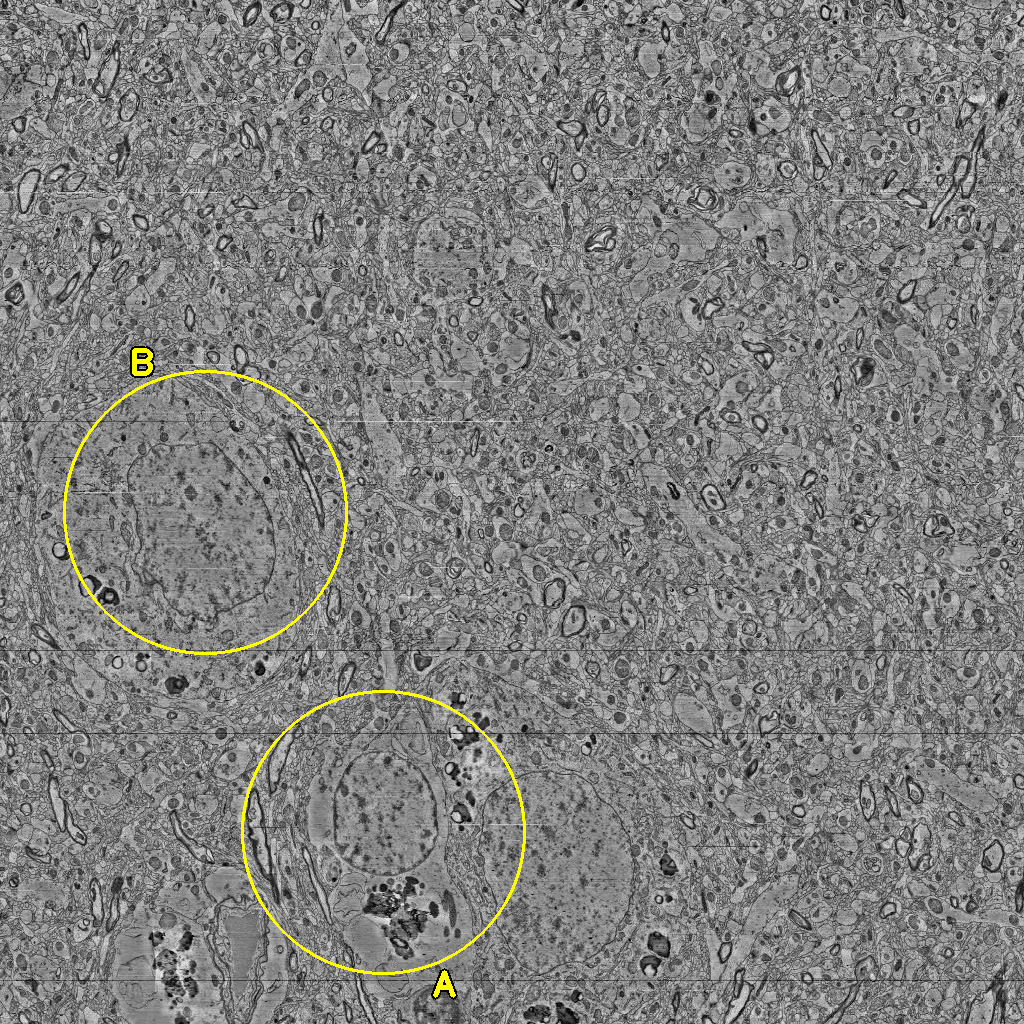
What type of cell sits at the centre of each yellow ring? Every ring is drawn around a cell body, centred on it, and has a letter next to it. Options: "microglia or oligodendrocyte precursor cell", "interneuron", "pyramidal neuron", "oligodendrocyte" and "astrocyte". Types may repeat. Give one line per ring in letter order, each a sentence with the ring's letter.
Ring A has an astrocyte at its centre.
Ring B has a pyramidal neuron at its centre.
